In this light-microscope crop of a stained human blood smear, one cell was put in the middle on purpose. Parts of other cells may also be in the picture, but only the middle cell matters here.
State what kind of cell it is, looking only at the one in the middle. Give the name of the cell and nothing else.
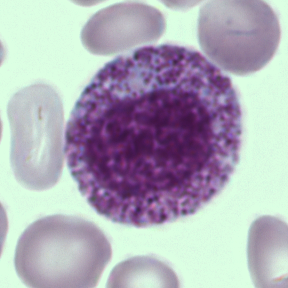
myelocyte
